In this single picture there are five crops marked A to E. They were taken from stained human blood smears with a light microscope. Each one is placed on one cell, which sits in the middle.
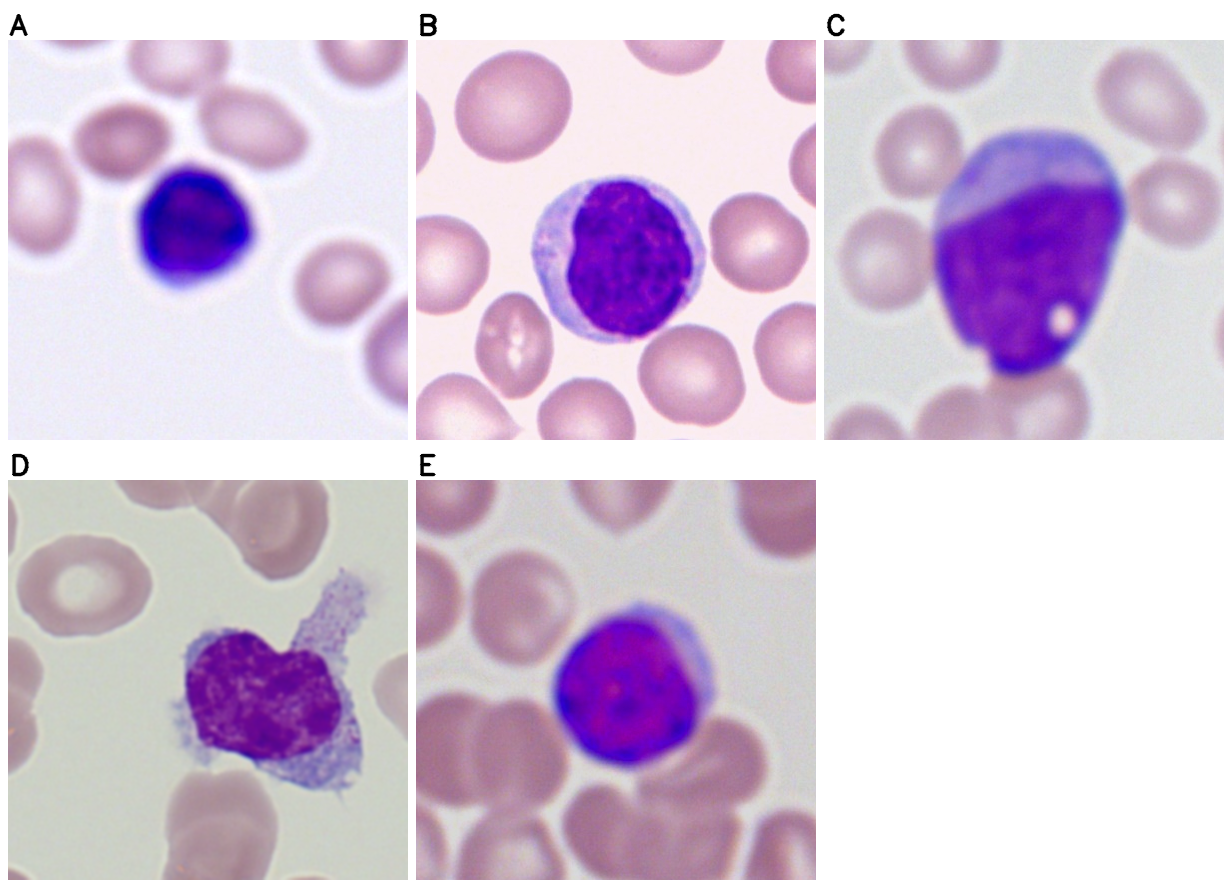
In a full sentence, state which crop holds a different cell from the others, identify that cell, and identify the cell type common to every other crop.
Although the other crops all show lymphocytes, crop C shows a blast.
